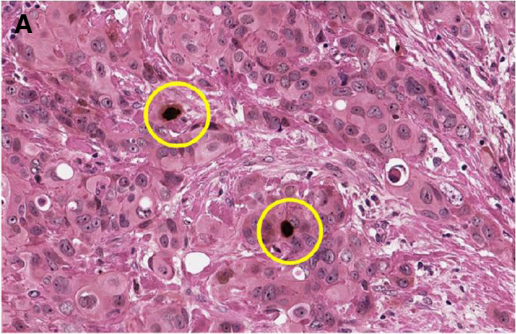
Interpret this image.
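Here we see a sheet of large, polygonal cells with ample pink cytoplasm, lying in nests separated by paler, wavy strands of fibrous stroma with smaller, darker spindle-shaped nuclei. Most of the large cells have round to oval, pale, vesicular nuclei, many with a visible nucleolus, and their borders are fairly distinct. A few small clear spaces are scattered among them. Two cells stand out: each has a compact, intensely dark brown-black nucleus, quite unlike the pale nuclei around it. These two dark cells are the mitotic figures, one in the upper left and one lower in the middle.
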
